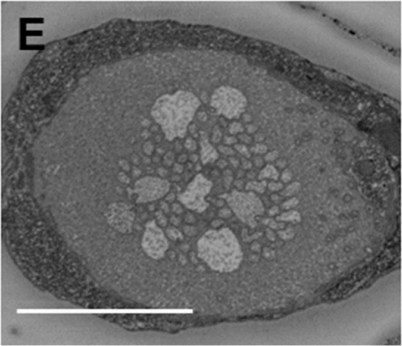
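This cross section of an olfactory sensillum shows a central bundle of dendritic processes cut transversely. Most processes are small pale round profiles crowded together, while several larger pale profiles with irregular outlines lie among them. The bundle sits within a medium grey matrix and is enclosed by a darker, granular outer layer.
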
